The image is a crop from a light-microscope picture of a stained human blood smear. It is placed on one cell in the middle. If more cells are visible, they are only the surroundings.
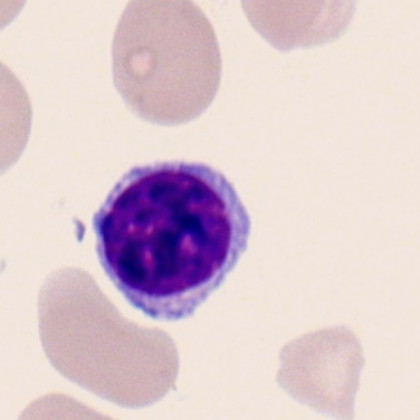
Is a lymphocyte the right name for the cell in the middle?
yes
